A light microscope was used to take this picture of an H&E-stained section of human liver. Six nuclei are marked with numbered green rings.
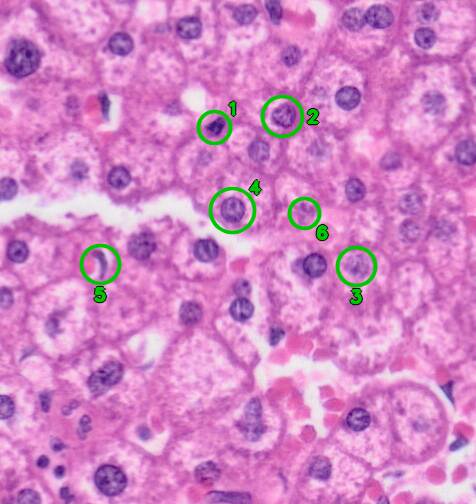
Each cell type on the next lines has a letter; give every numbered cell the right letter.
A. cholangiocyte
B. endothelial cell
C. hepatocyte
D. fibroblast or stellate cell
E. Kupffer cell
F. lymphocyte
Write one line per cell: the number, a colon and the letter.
1: D
2: C
3: C
4: C
5: B
6: C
